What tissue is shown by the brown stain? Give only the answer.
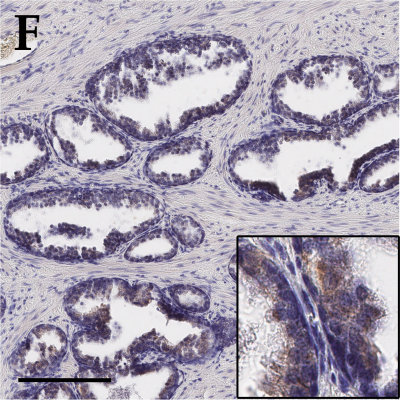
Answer: Glandular epithelium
